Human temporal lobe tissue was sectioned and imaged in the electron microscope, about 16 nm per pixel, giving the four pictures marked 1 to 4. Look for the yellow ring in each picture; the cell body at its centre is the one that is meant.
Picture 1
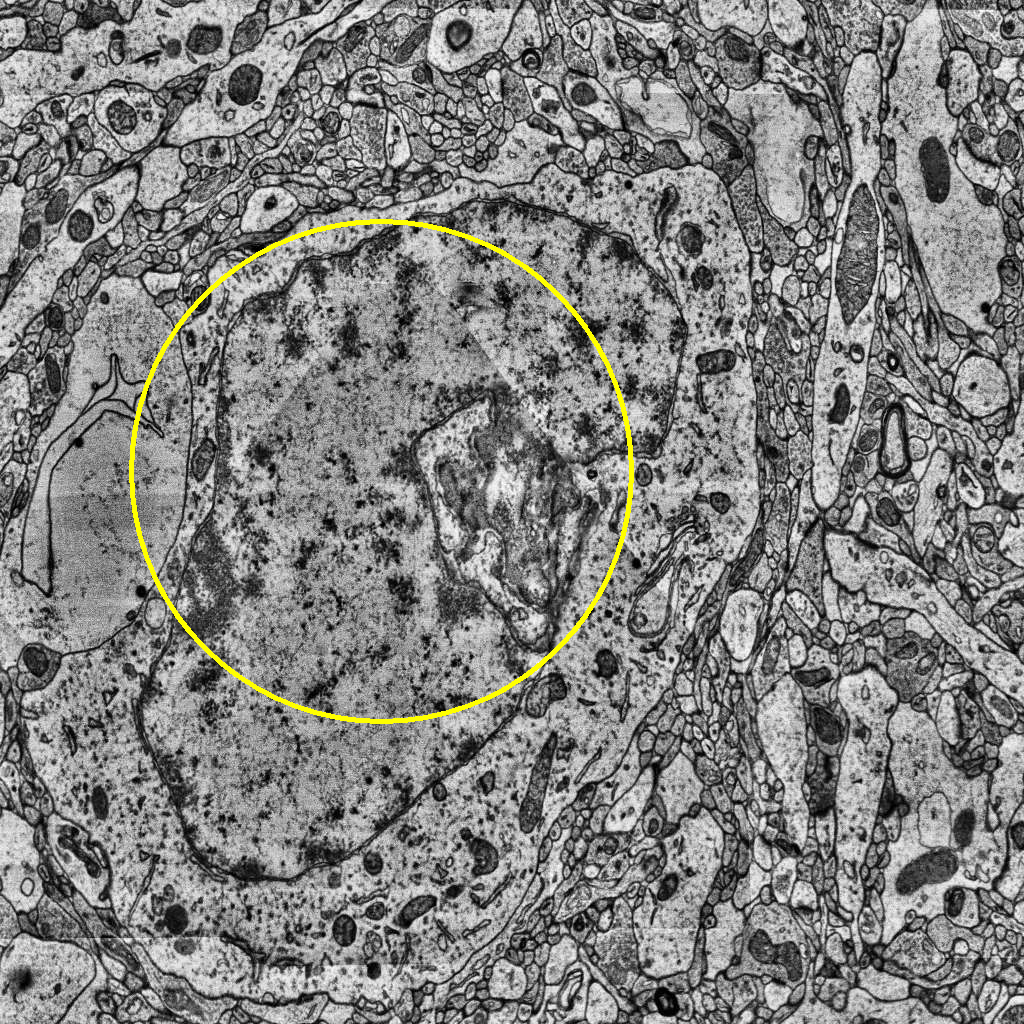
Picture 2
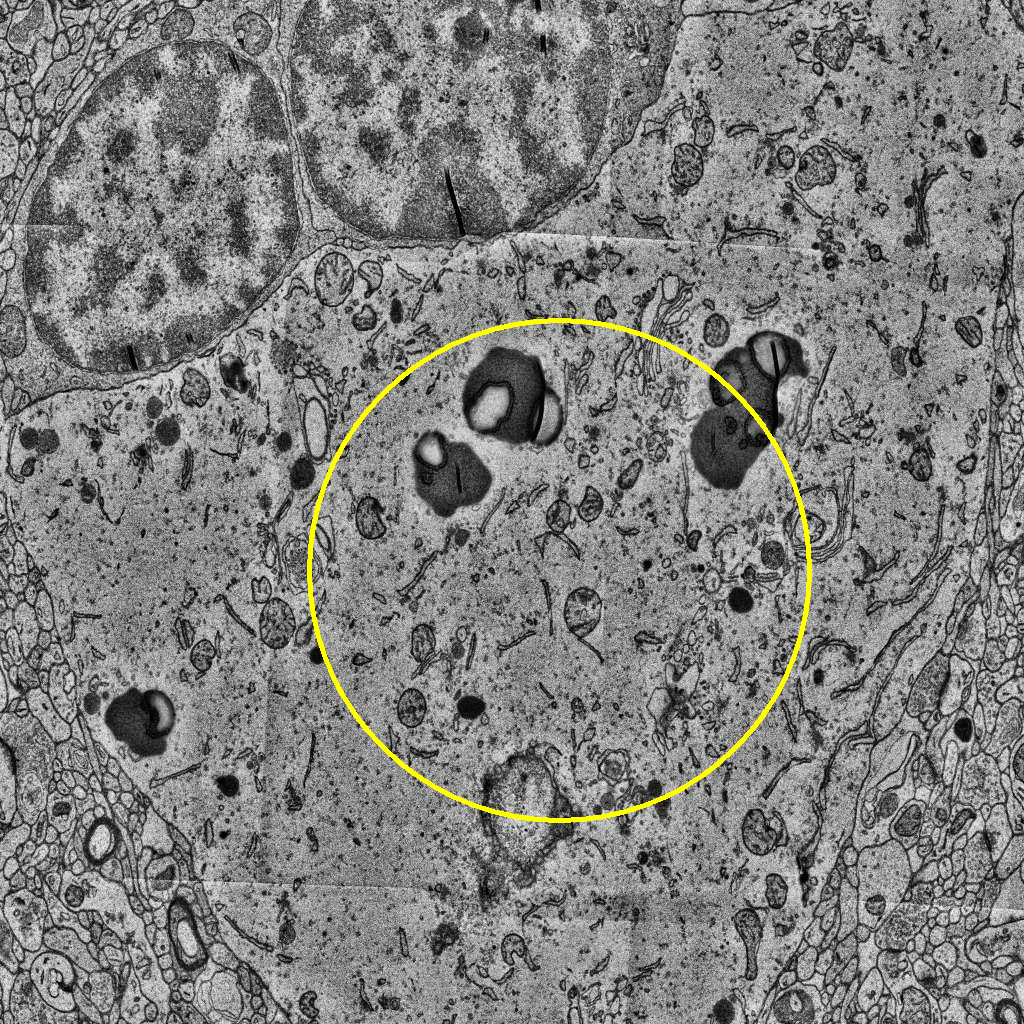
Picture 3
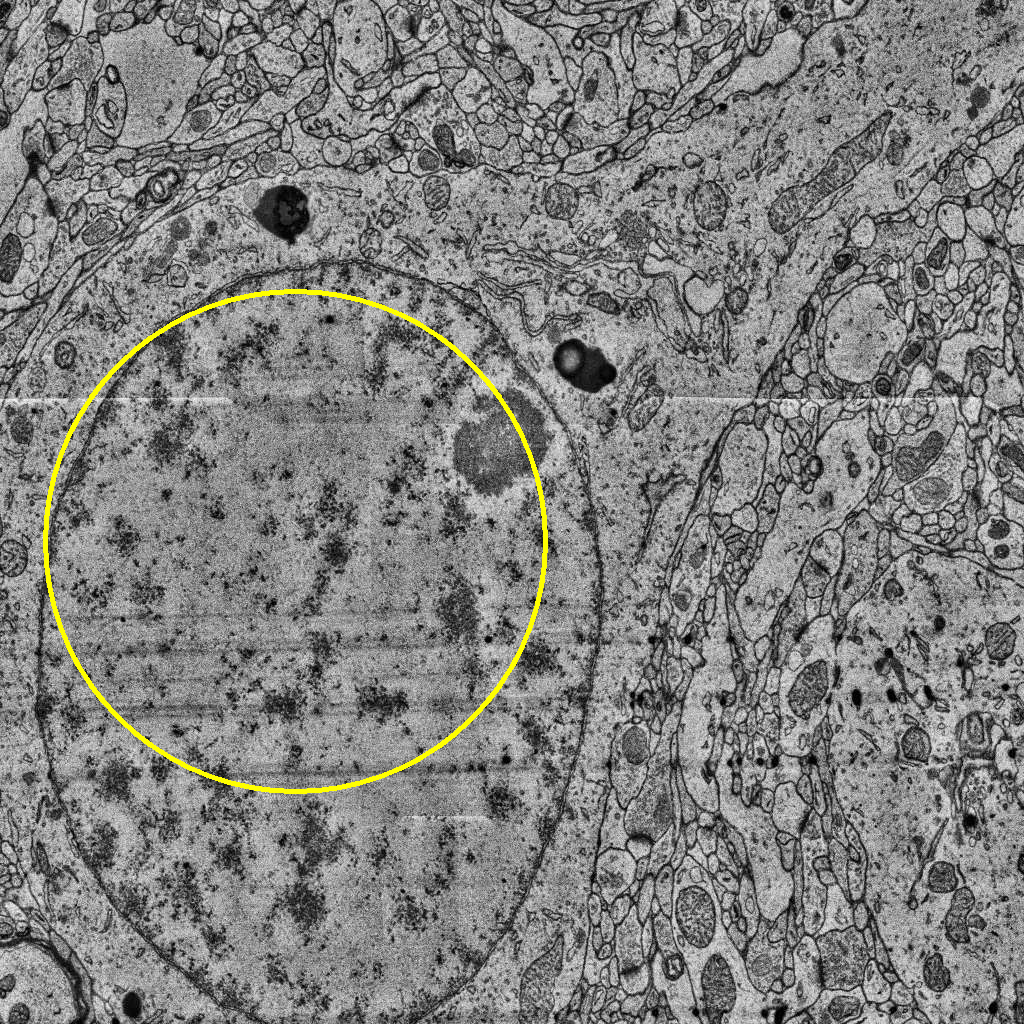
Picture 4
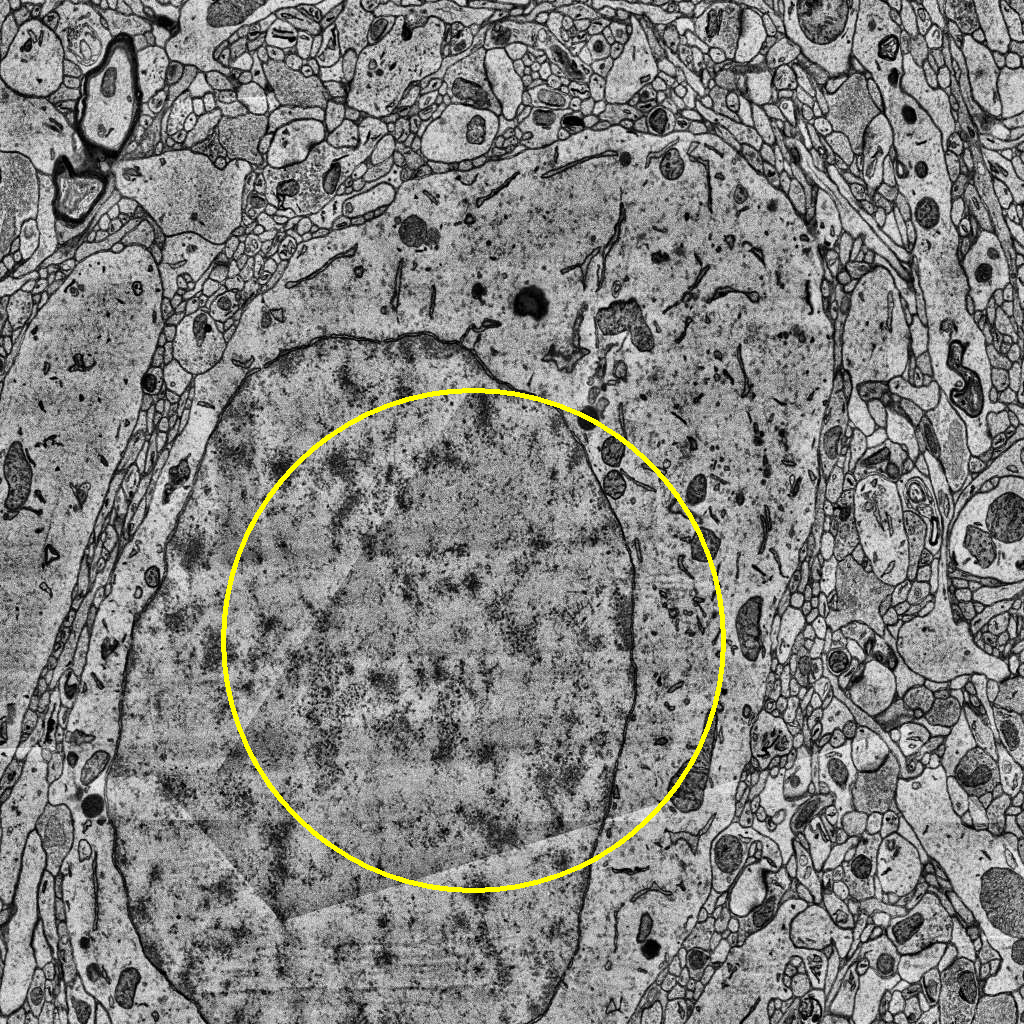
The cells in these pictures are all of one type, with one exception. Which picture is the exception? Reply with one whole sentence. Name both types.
Unlike the rest, which show pyramidal neurons, picture 1 shows an interneuron.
